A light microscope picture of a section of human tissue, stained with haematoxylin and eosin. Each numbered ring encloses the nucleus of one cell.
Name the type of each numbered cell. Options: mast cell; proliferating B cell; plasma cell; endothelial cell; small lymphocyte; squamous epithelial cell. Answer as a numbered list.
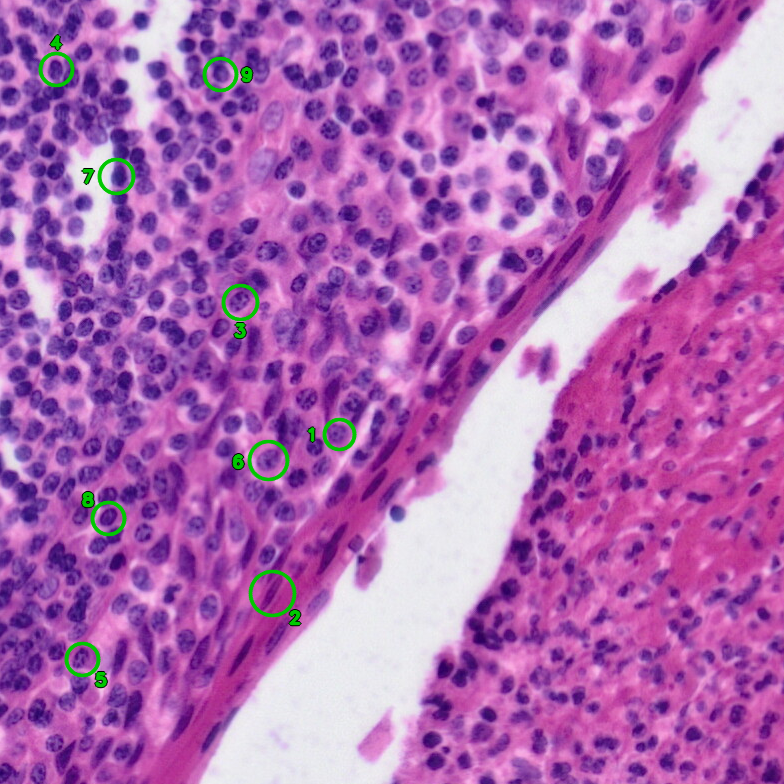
1. plasma cell
2. squamous epithelial cell
3. plasma cell
4. small lymphocyte
5. plasma cell
6. plasma cell
7. small lymphocyte
8. plasma cell
9. small lymphocyte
